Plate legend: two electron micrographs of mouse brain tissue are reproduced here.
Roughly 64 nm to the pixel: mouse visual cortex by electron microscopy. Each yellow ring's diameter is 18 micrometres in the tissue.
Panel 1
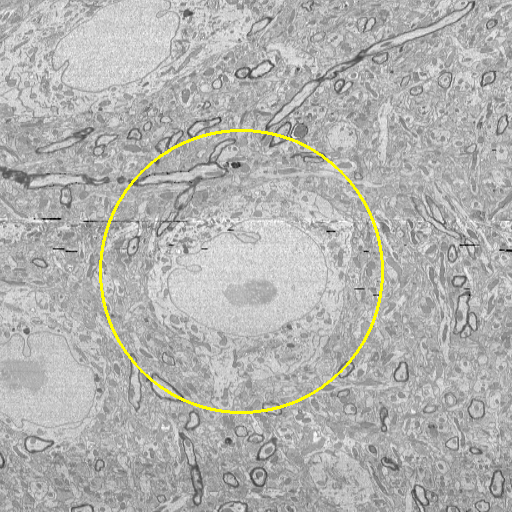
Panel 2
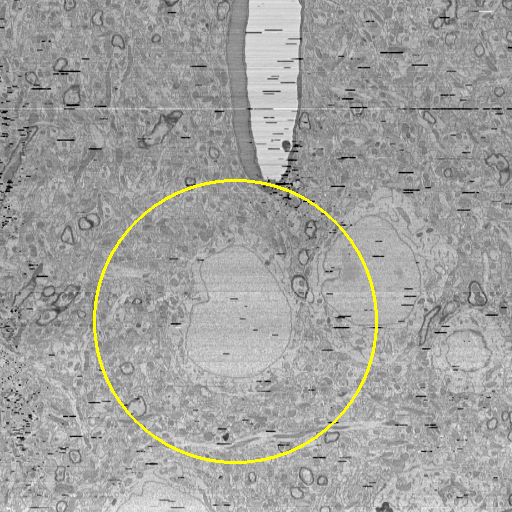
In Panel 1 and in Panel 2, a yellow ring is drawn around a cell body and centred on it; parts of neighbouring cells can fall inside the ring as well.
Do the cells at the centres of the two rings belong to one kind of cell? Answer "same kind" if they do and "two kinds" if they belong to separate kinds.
same kind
